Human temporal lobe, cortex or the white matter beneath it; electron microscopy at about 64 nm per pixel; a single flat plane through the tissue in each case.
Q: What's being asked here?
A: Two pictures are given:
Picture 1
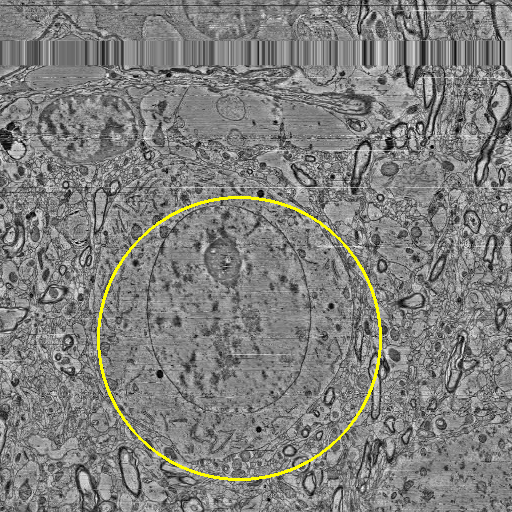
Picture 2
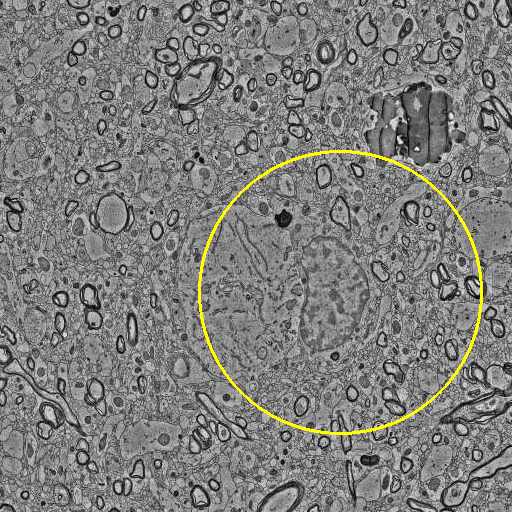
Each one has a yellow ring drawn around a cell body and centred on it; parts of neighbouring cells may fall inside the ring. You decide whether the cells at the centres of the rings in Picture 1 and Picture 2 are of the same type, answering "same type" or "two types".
two types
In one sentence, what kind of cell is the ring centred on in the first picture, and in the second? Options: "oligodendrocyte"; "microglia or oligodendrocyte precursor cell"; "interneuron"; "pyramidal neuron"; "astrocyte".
The cell at the centre of the second ring is an oligodendrocyte; the first ring's cell is a pyramidal neuron.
